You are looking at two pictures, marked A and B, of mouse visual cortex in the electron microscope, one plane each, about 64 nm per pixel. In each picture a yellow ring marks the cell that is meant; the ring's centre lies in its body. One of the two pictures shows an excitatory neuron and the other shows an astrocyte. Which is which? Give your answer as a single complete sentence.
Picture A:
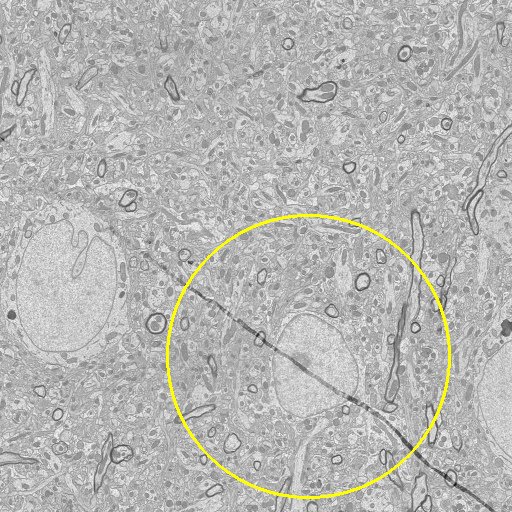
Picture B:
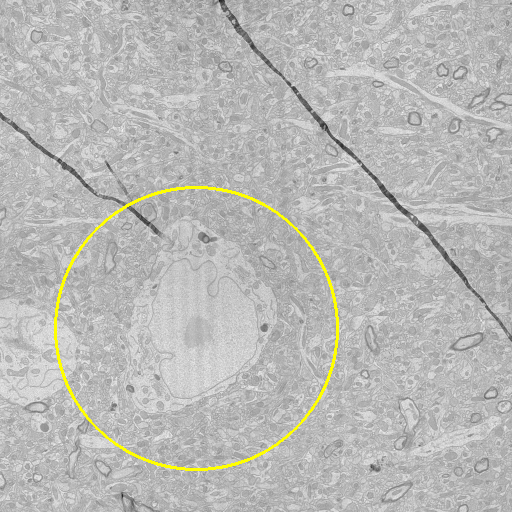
It is picture A that shows an astrocyte, and picture B that shows an excitatory neuron.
